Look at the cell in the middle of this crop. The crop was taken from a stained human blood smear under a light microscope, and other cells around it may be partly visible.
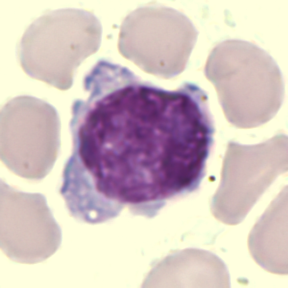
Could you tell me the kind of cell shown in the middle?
plasma cell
